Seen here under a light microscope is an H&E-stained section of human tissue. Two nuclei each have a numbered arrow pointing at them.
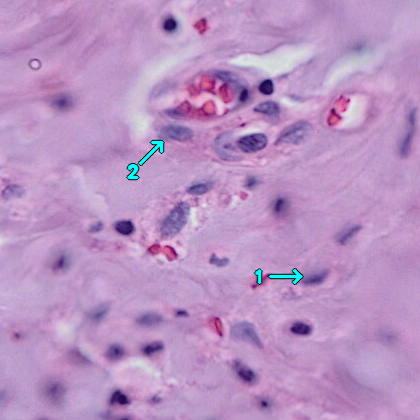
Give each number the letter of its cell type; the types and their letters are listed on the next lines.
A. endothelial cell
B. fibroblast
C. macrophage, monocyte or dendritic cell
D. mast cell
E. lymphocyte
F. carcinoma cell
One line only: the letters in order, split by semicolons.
B; A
